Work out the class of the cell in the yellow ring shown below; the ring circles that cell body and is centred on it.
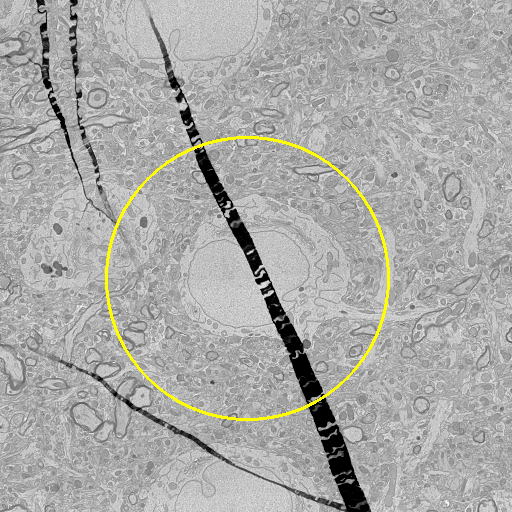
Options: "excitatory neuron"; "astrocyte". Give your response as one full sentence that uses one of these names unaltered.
The body ringed in yellow, right at the ring's centre, is that of an excitatory neuron.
